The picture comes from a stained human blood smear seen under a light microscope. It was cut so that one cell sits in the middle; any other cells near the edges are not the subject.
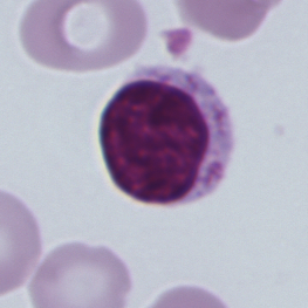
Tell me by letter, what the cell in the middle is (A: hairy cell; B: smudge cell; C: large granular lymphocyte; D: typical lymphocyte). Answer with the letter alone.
C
